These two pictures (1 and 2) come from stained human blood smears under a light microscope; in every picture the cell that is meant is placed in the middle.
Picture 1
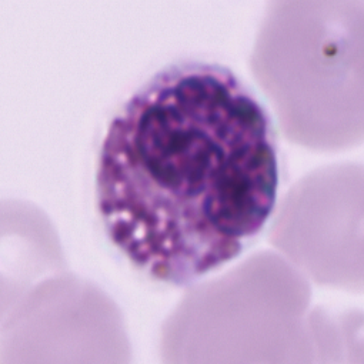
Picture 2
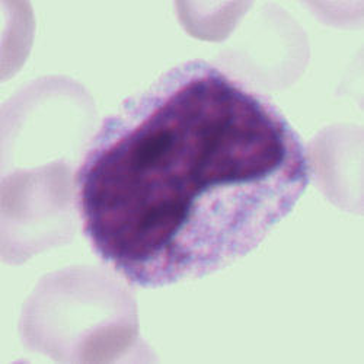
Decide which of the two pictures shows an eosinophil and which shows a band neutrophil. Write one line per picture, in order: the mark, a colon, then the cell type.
1: eosinophil
2: band neutrophil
